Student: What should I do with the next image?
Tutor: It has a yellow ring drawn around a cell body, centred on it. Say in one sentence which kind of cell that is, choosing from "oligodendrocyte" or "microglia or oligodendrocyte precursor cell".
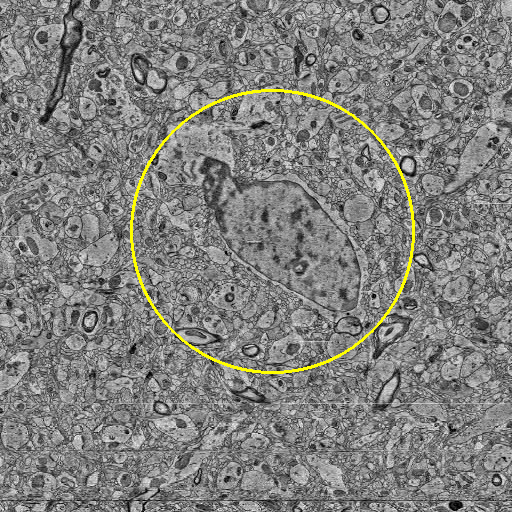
The ring's centre is occupied by a microglial cell or oligodendrocyte precursor cell.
